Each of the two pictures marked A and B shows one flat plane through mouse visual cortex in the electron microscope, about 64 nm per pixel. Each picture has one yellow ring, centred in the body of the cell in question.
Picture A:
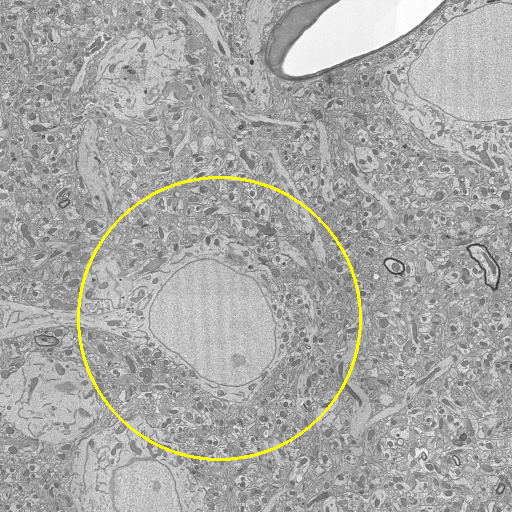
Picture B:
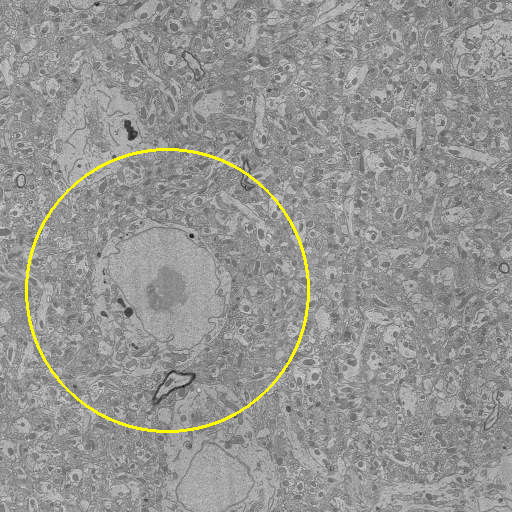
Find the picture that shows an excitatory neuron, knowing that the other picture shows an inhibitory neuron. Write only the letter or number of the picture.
A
